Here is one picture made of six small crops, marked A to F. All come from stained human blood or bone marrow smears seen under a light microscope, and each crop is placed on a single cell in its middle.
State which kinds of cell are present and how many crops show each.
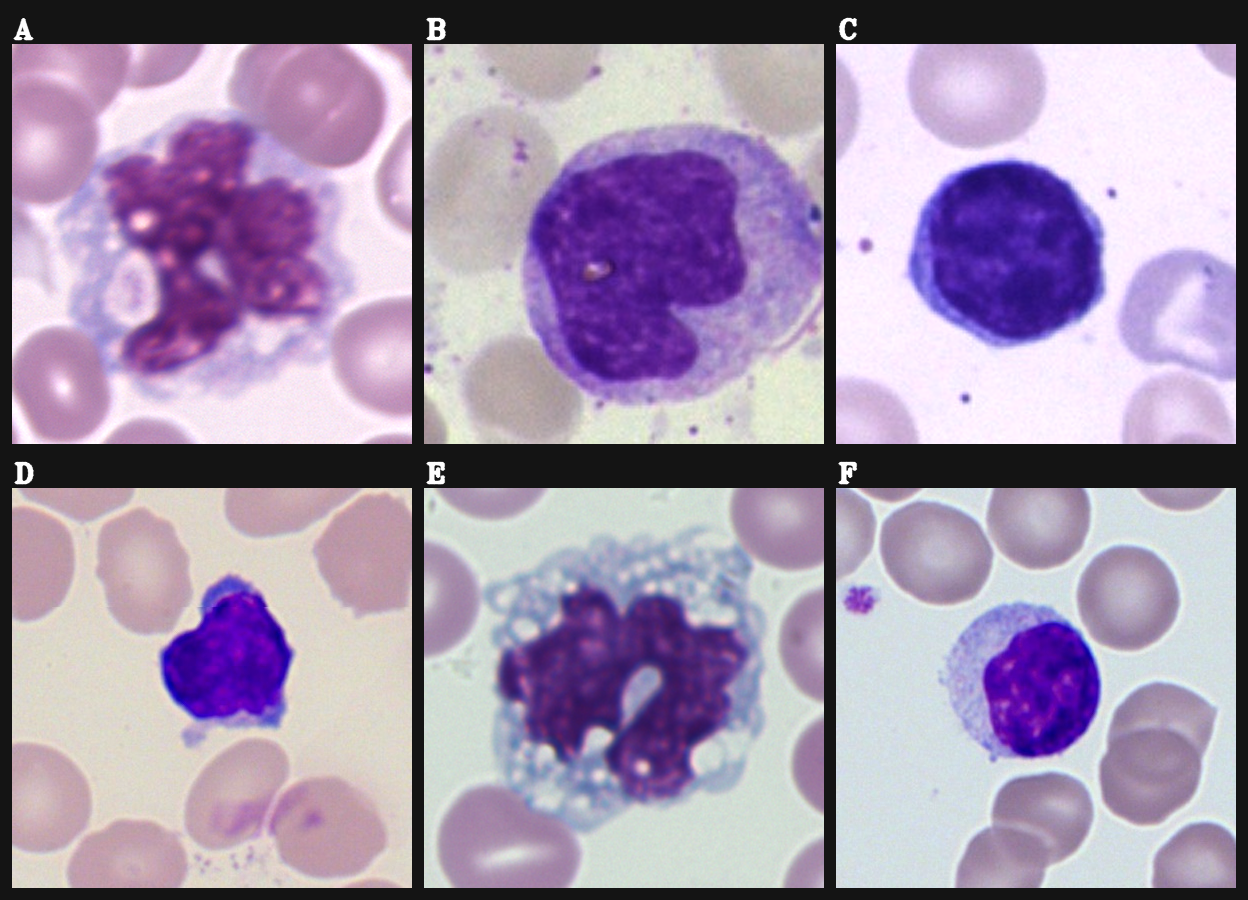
monocyte: 3
lymphocyte: 3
